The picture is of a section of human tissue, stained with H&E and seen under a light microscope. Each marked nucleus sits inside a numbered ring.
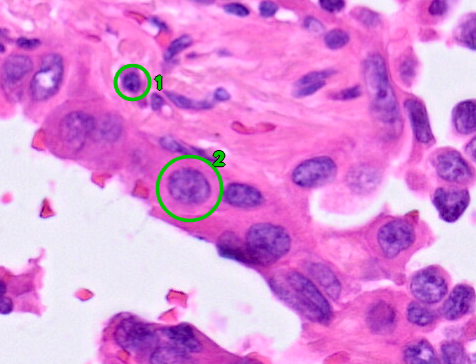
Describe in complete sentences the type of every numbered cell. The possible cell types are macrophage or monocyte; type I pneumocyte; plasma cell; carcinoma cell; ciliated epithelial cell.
Cell 1 is a plasma cell. Cell 2 is a carcinoma cell.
